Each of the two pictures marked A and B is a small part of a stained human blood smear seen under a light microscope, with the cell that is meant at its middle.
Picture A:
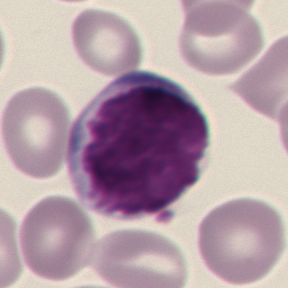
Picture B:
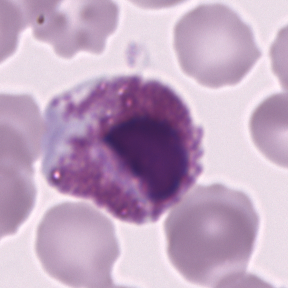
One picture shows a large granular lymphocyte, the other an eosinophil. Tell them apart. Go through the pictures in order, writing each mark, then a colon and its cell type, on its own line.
A: large granular lymphocyte
B: eosinophil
